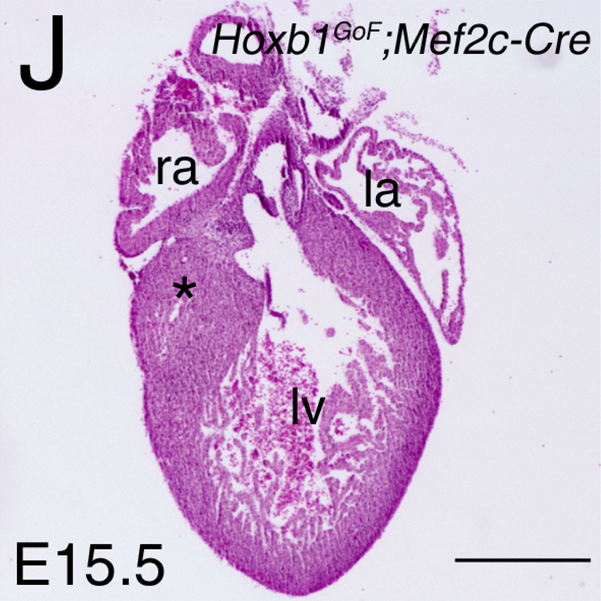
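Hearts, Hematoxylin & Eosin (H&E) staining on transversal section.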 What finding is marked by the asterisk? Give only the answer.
Hypoplastic.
